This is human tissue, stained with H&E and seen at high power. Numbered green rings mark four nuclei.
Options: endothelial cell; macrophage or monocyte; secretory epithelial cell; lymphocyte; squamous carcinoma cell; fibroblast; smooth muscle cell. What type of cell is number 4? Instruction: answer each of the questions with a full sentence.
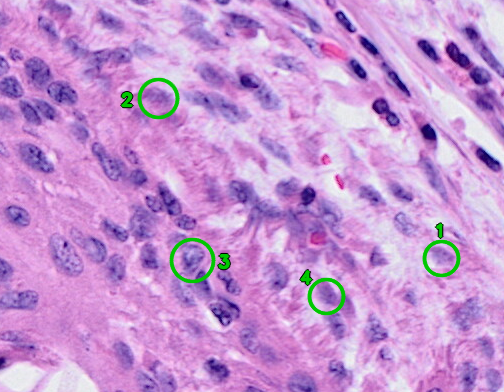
Numbered cell 4 is a fibroblast in this tissue section.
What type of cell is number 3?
The cell referred to as 3 is a squamous carcinoma cell.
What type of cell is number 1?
Among the marked cells, number 1 is a fibroblast.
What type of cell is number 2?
The cell that is numbered 2 is a fibroblast.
